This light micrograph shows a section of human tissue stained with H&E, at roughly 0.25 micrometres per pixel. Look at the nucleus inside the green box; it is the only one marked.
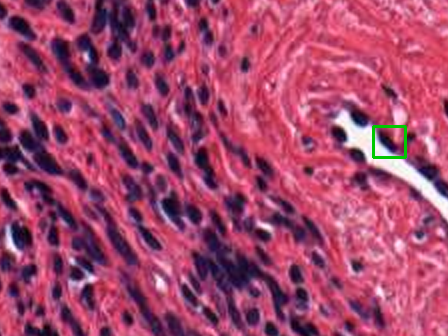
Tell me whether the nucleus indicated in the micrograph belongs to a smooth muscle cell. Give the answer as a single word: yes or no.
no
